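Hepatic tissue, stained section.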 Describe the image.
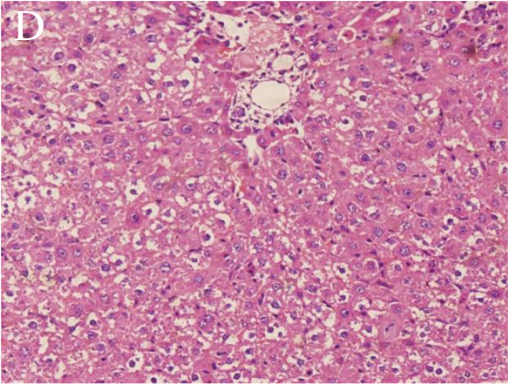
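Liver tissue in which many hepatocytes are swollen, with pale, clear or finely vacuolated cytoplasm, while others keep a denser pink cytoplasm. Nuclei are round and purple but vary in size and staining, some with a prominent dark nucleolus. The plate arrangement of the cells is disturbed and the sinusoidal spaces are largely compressed. Near the top centre a small portal area holds a rounded vessel lumen surrounded by loose tissue with small dark nuclei. Scattered small dark nuclei lie between the hepatocytes across the field.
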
